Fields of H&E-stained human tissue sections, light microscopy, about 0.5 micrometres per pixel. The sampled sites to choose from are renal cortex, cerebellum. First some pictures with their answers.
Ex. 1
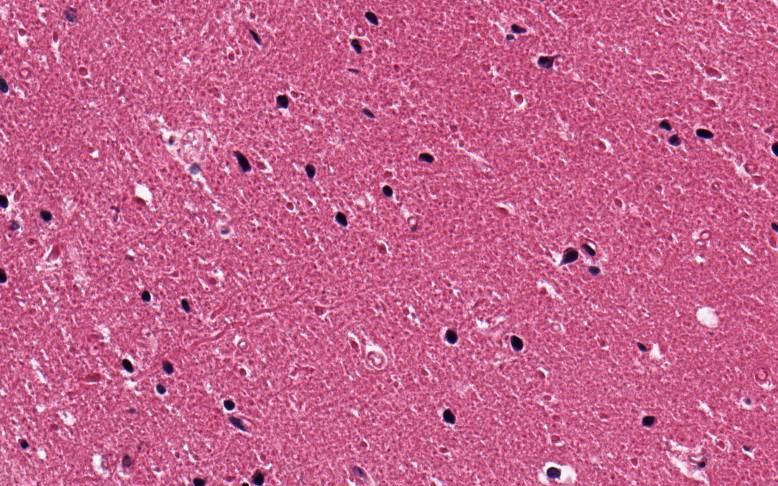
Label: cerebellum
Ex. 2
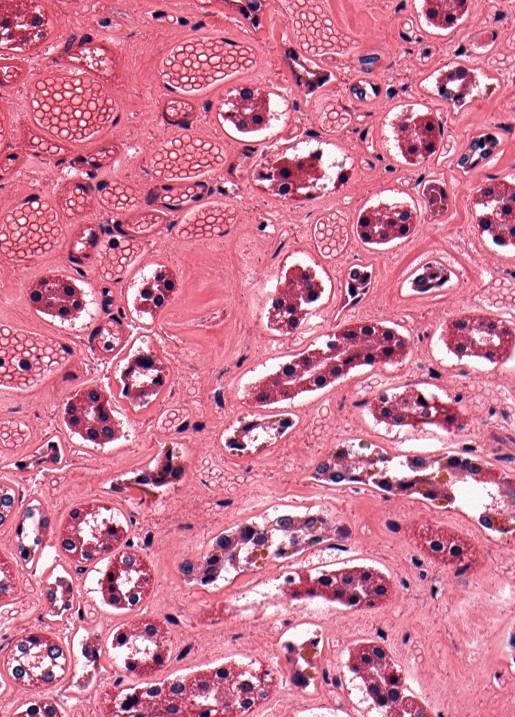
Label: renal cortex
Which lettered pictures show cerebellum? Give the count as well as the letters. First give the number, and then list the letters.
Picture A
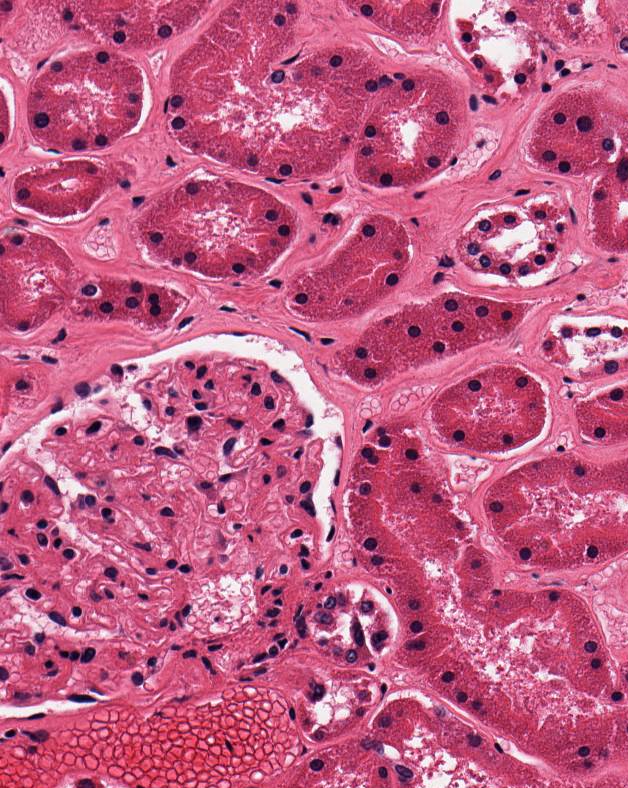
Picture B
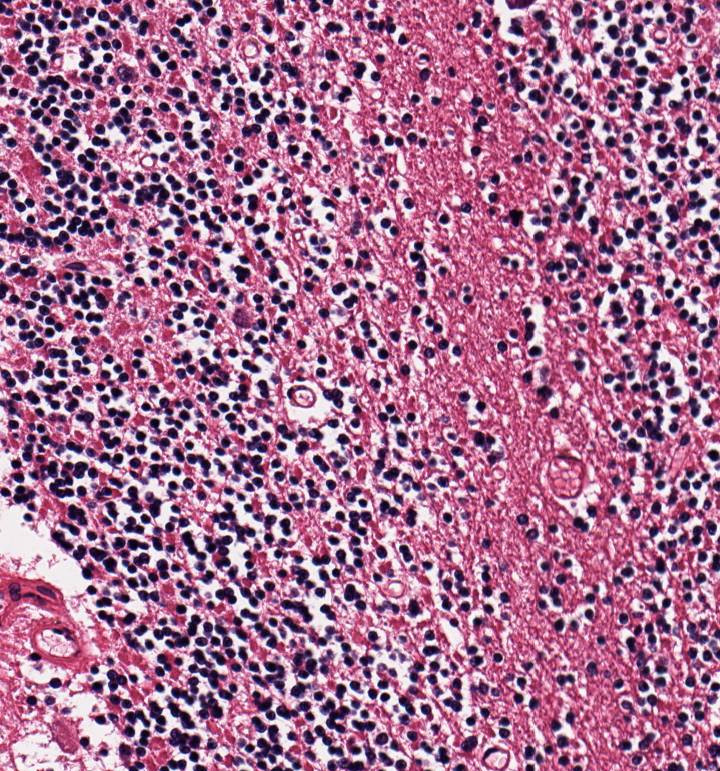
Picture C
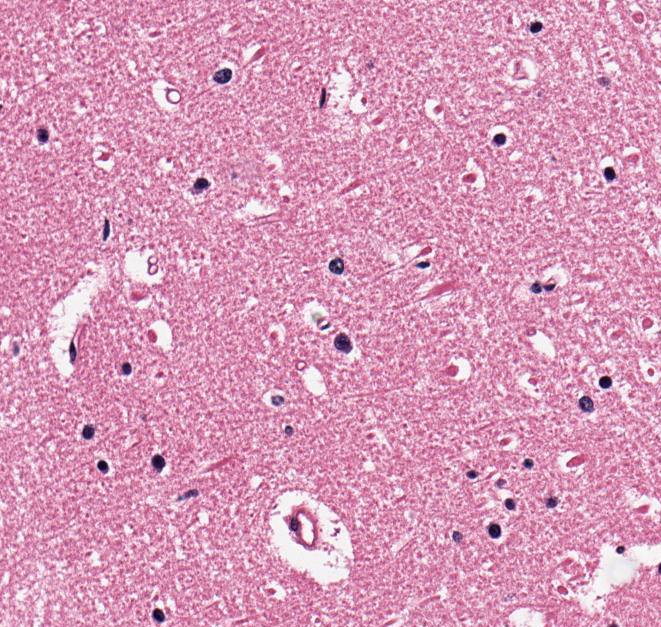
2, namely B, C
